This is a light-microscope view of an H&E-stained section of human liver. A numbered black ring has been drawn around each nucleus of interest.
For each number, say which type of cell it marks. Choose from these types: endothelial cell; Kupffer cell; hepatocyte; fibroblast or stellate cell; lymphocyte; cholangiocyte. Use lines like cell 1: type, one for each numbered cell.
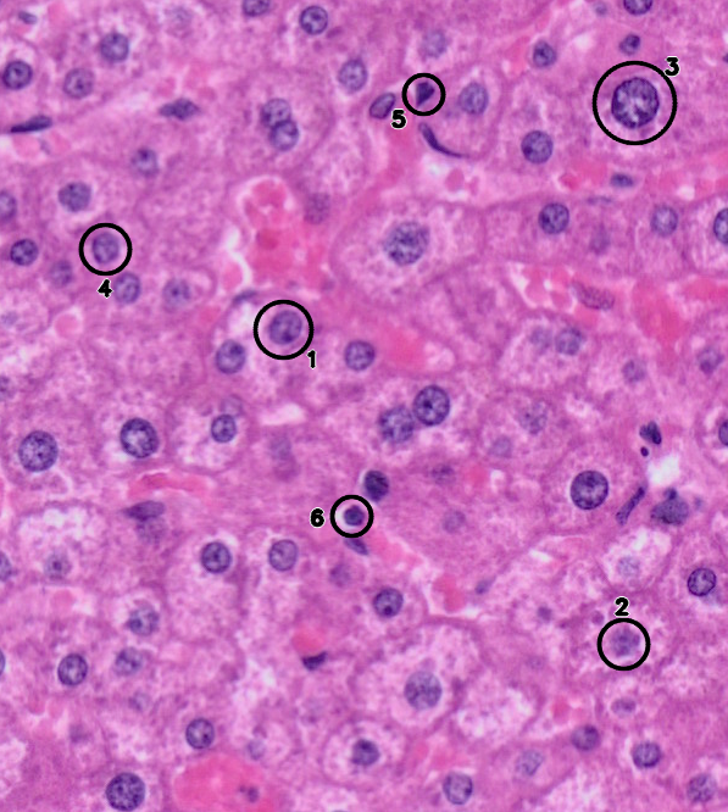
cell 1: hepatocyte
cell 2: hepatocyte
cell 3: hepatocyte
cell 4: hepatocyte
cell 5: fibroblast or stellate cell
cell 6: lymphocyte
